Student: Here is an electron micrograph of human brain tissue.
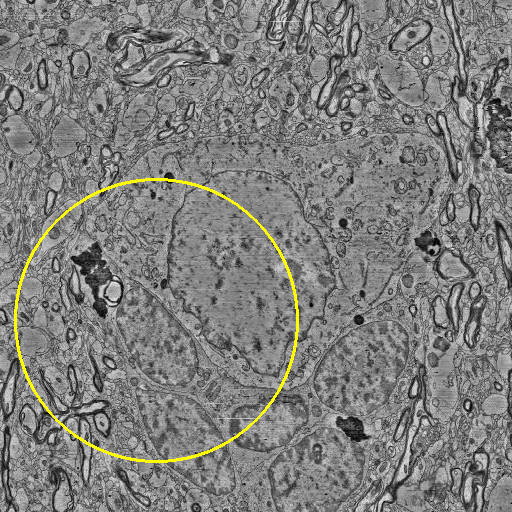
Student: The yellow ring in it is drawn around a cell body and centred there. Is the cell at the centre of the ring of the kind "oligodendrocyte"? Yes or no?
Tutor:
yes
